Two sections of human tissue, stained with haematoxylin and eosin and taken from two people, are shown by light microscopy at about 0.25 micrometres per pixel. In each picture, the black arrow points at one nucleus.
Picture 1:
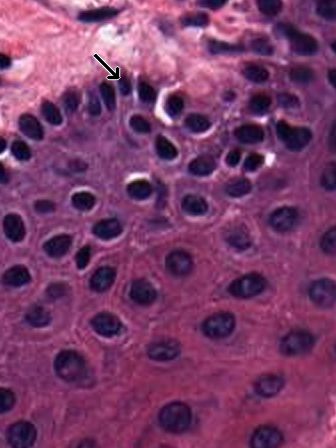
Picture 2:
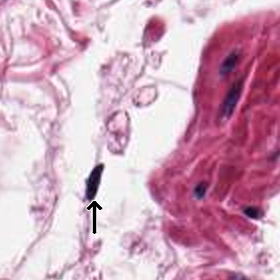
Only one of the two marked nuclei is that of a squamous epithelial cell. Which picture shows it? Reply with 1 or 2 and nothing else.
1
